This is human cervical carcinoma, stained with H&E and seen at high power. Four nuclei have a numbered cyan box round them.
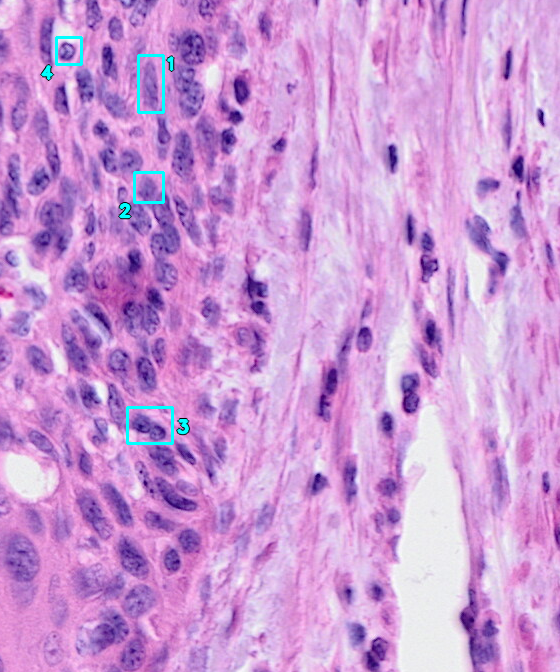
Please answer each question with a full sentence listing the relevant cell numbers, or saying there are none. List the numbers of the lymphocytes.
Cell 4 stands alone among the numbered cells as a lymphocyte.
